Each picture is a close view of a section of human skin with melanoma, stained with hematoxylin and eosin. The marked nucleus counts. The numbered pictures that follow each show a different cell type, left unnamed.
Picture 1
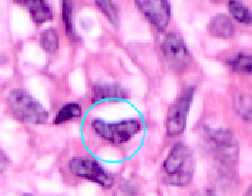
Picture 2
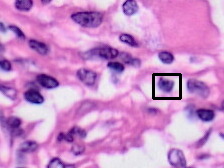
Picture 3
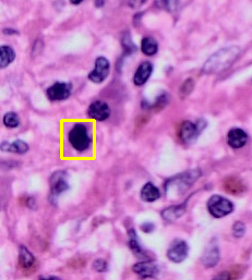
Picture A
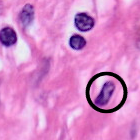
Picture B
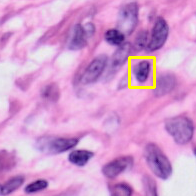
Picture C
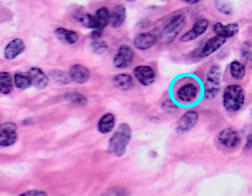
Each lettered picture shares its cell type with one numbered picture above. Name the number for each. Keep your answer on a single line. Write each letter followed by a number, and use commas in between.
A 2, B 2, C 3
